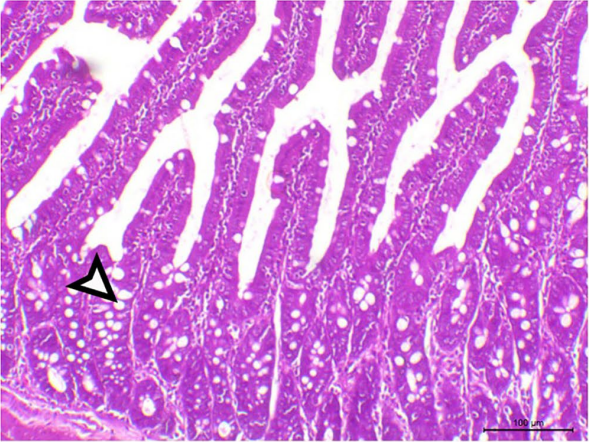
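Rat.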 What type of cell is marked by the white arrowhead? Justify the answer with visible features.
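Goblet cells. Round clear, vacuole-like cells are scattered among the epithelial cells. These clear cells are numerous near the bases of the villi and the crypts.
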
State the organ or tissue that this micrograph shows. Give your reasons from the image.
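Intestinal villi. Long, slender finger-like projections stand side by side. Each projection is lined by a columnar epithelium around a core.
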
